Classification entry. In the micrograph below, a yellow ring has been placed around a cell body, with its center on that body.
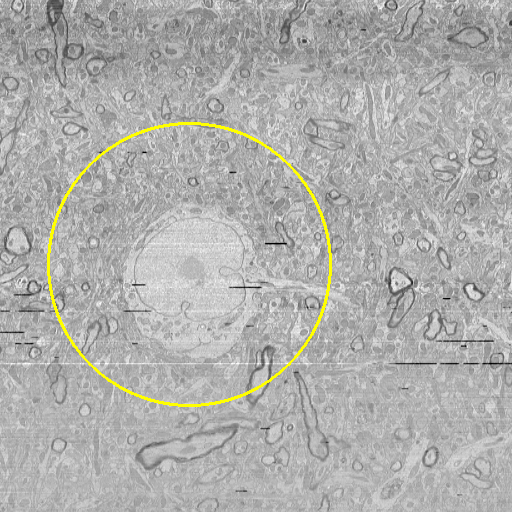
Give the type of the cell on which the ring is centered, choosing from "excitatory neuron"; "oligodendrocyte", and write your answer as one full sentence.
The cell body at the center of the yellow ring belongs to an excitatory neuron.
